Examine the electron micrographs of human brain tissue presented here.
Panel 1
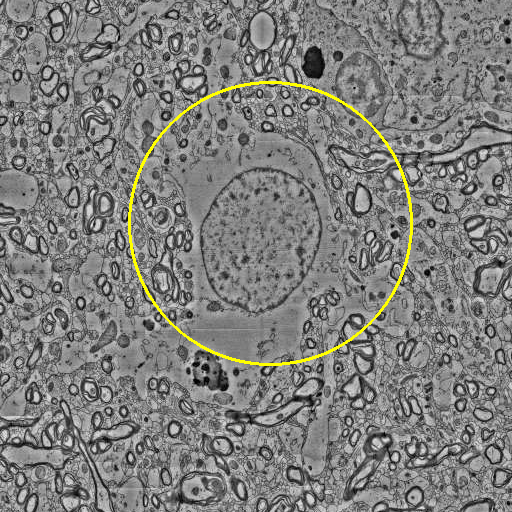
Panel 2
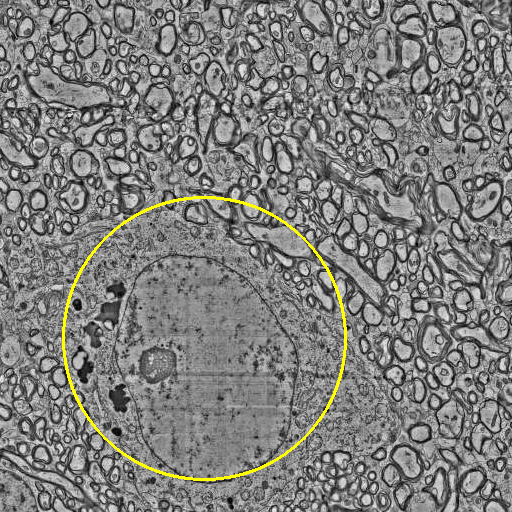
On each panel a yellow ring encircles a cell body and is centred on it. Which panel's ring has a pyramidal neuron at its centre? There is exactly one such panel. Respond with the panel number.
2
